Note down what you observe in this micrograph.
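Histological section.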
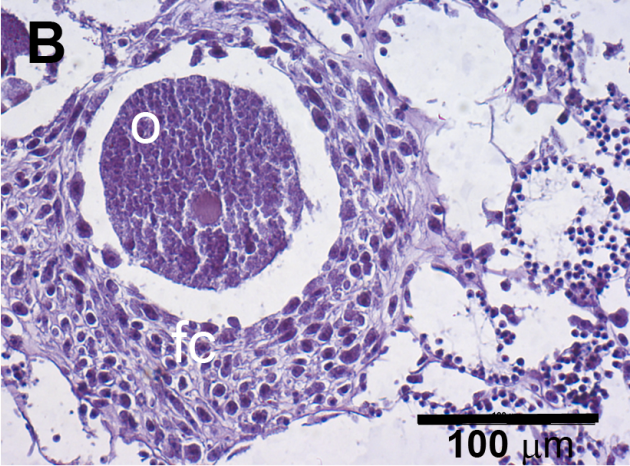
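A large mature oocyte lies in a clear space within sponge tissue and is enclosed by a thick envelope of follicular cells. The oocyte is round, and its cytoplasm is packed with dark purple granules in a net-like pattern, with a pale rounded body near its centre. The follicular envelope consists of several layers of small rounded to oval cells with dark nuclei, some with clear cytoplasm. To the side lies loose tissue with large clear spaces and clusters of small, dark, rounded cells.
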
